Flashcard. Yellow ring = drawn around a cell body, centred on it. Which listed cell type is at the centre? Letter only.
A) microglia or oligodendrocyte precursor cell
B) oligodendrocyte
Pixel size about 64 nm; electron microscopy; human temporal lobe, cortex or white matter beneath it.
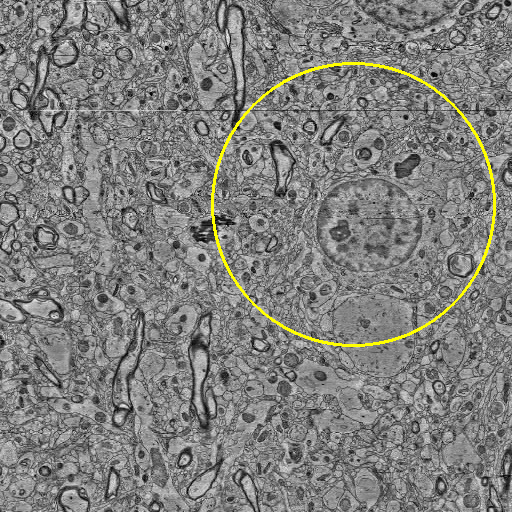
B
